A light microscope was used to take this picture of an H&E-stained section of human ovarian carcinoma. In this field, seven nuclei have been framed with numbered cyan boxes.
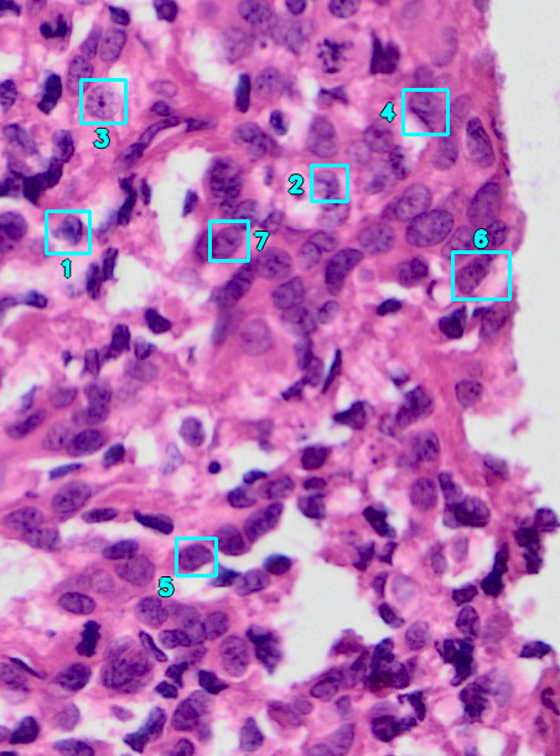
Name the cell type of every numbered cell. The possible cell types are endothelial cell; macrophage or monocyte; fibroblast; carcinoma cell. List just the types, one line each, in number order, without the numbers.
macrophage or monocyte
macrophage or monocyte
macrophage or monocyte
carcinoma cell
carcinoma cell
carcinoma cell
carcinoma cell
